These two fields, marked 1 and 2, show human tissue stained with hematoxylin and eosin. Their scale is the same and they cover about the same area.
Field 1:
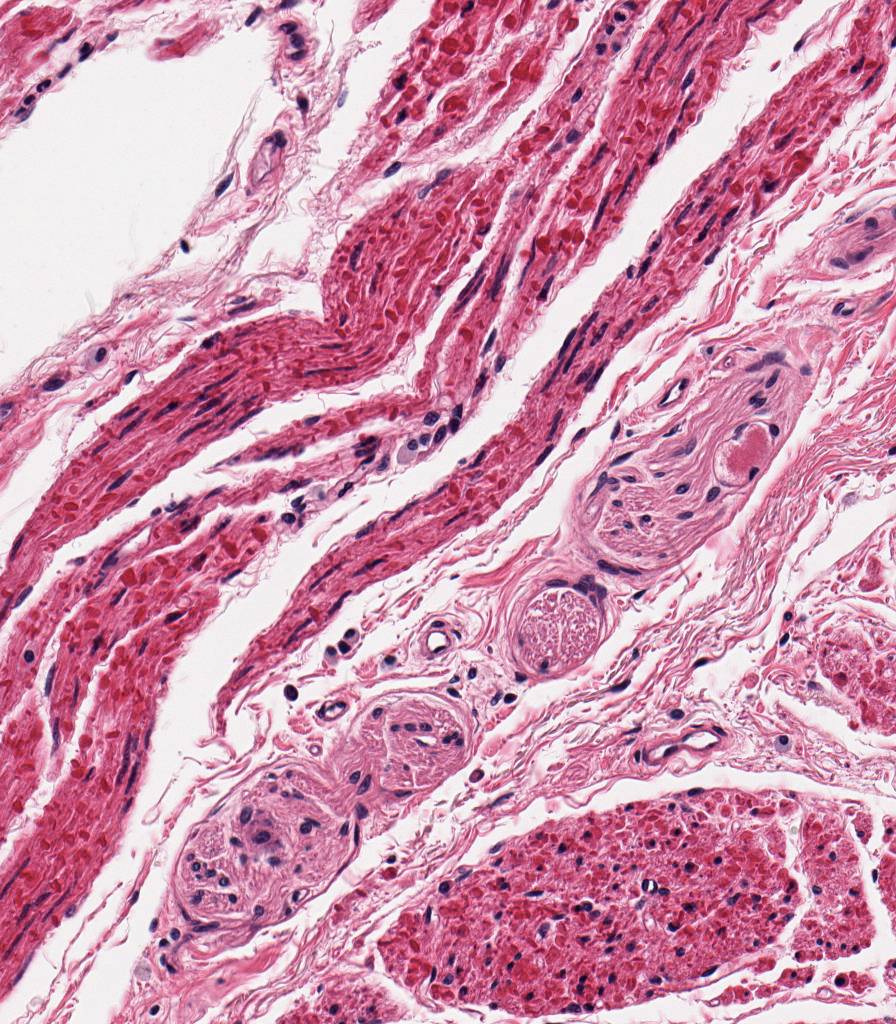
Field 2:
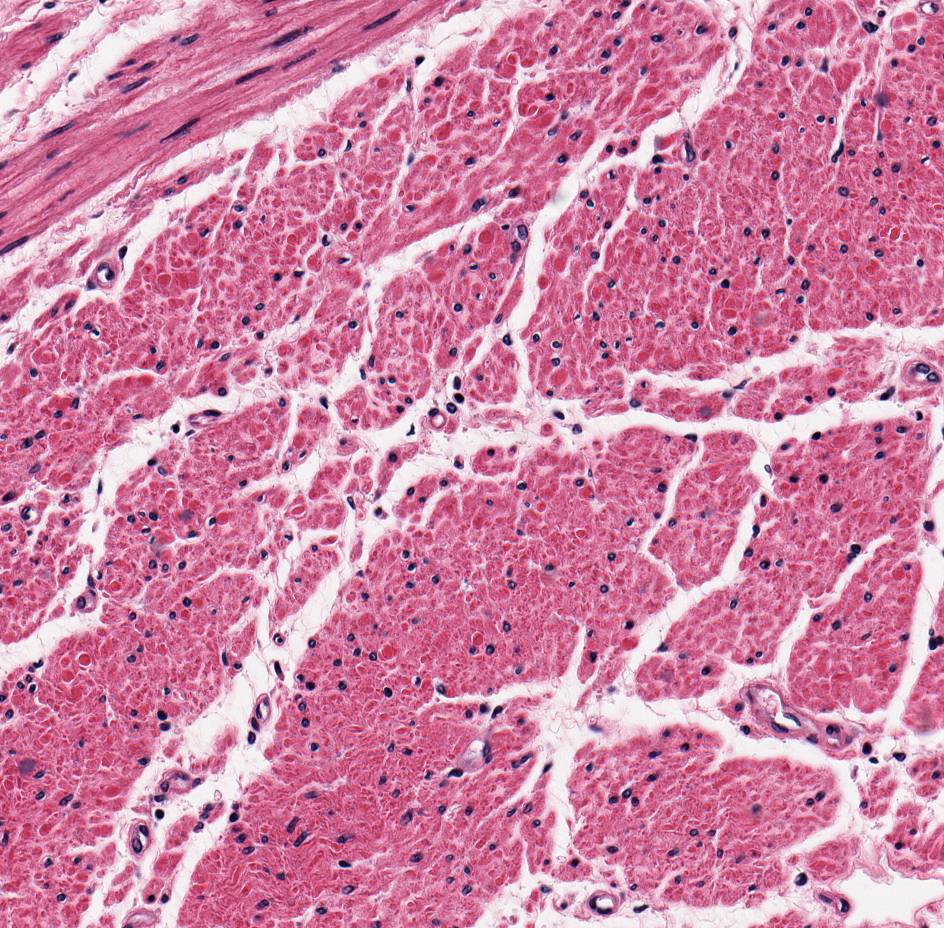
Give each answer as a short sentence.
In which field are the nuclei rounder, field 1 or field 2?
Rounder nuclei lie in field 2.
